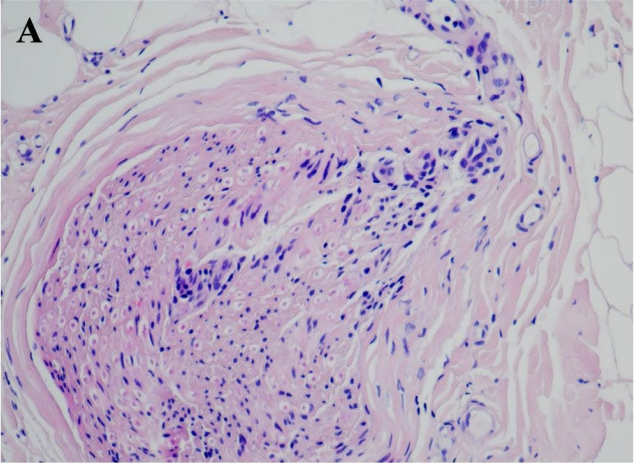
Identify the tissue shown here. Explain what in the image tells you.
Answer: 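A rounded bundle of fibres is wrapped in concentric layers of pink connective tissue. Inside the bundle are many small round fibre profiles in cross-section. On this evidence: nerve fascicles.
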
